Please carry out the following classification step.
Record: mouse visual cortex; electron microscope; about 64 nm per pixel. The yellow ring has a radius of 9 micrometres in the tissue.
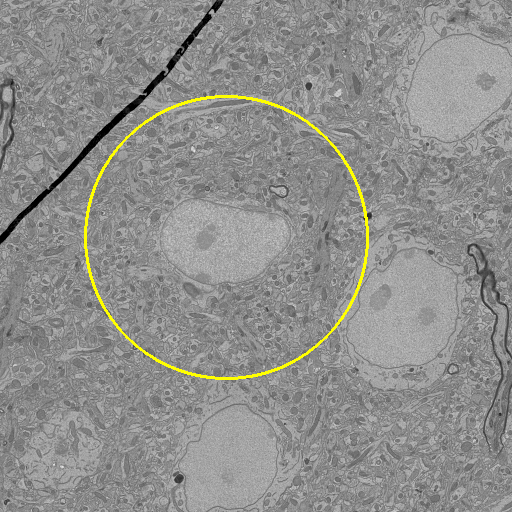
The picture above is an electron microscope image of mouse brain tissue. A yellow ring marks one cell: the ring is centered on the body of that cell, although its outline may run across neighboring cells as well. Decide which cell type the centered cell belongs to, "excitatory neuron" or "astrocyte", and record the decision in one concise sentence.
The cell centered in the yellow ring is an astrocyte.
